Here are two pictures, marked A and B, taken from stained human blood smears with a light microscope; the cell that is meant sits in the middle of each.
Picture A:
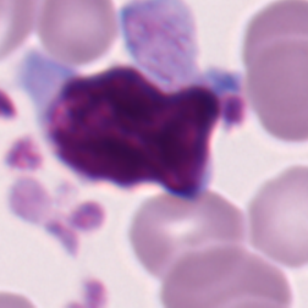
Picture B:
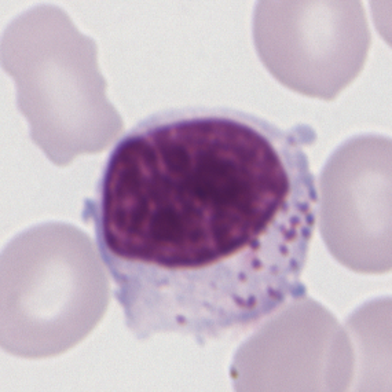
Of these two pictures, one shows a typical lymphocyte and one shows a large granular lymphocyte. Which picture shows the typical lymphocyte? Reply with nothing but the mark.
A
